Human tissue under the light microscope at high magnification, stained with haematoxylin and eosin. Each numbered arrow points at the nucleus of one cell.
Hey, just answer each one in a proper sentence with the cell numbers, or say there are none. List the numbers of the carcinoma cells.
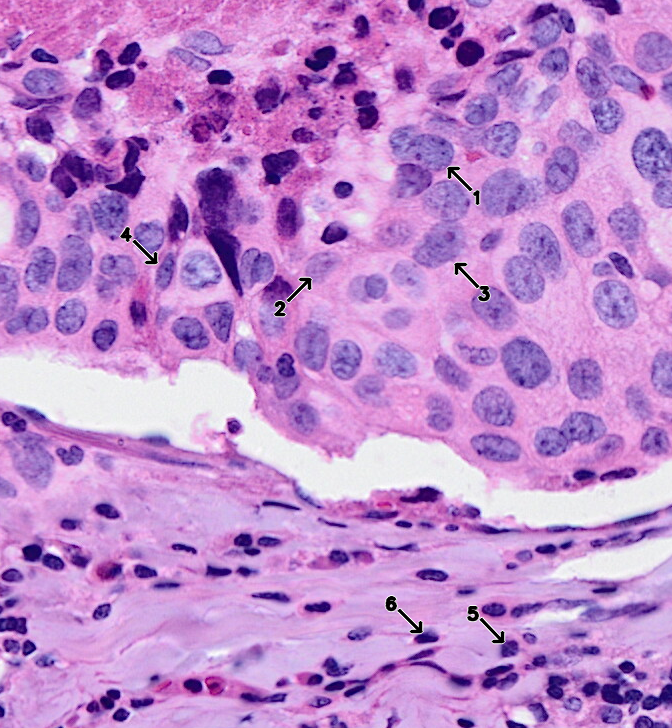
The cells whose numbers are 1, 2, 3 and 4 are carcinoma cells.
